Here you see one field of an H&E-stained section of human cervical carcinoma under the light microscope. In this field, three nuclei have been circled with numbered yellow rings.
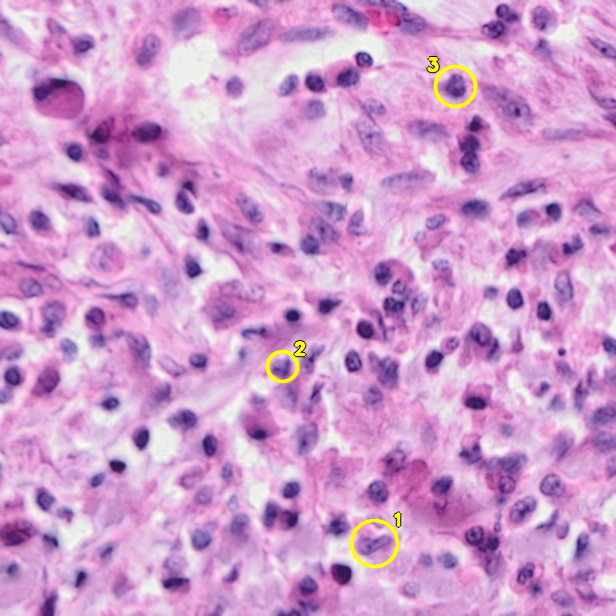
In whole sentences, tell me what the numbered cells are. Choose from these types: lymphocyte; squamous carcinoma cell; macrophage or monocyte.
Cell 1 is a macrophage or monocyte. Cells 2 and 3 are lymphocytes.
